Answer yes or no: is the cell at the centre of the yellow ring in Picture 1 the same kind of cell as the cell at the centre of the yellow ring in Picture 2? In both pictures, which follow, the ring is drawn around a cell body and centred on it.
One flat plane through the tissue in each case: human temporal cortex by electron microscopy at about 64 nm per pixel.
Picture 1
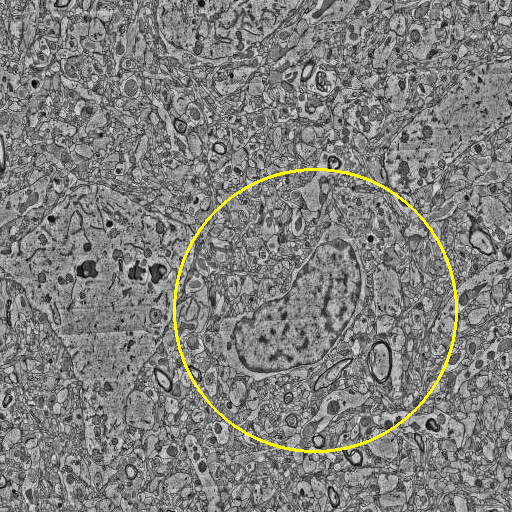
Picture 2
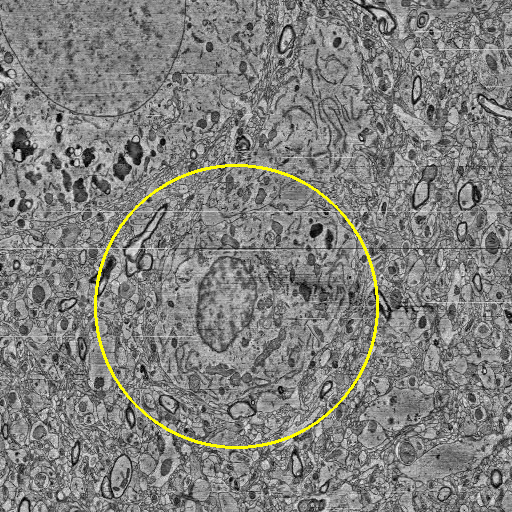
no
